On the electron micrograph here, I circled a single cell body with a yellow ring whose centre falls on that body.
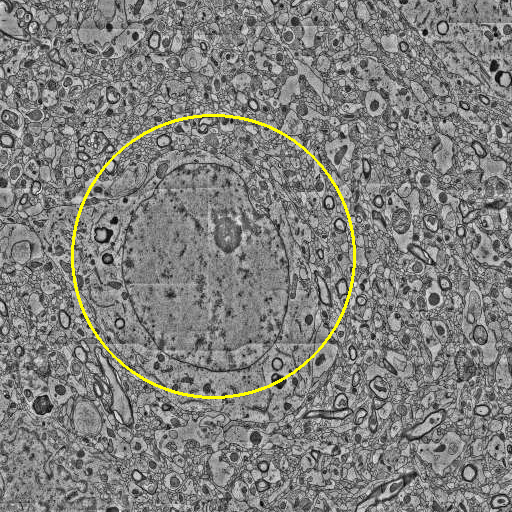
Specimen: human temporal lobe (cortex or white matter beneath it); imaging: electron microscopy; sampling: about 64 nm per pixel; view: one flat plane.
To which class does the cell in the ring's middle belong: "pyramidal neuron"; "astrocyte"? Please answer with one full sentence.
In this picture, the cell body circled at the ring's centre belongs to a pyramidal neuron.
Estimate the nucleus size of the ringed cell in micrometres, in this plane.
The nucleus is approximately 14 micrometers long by 11 micrometers wide in this plane.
